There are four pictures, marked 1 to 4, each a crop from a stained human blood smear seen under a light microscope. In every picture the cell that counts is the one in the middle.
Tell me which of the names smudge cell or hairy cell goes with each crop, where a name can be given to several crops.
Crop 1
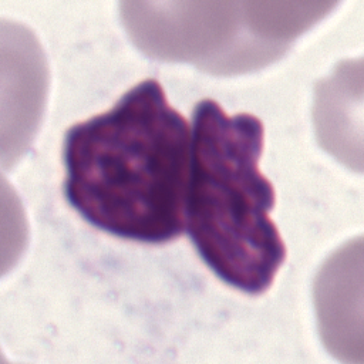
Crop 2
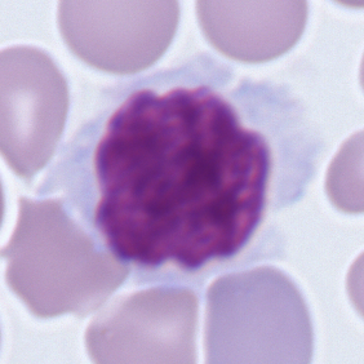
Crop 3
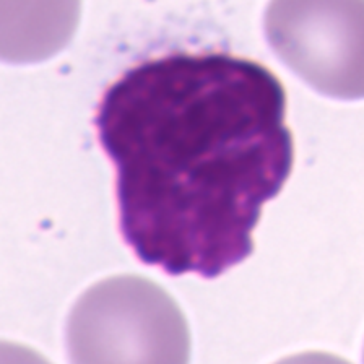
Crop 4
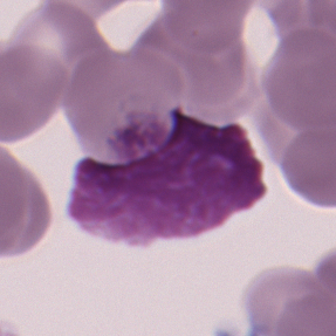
1: smudge cell
2: hairy cell
3: smudge cell
4: smudge cell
